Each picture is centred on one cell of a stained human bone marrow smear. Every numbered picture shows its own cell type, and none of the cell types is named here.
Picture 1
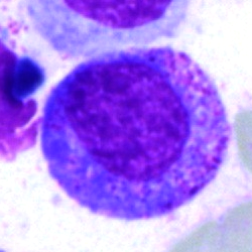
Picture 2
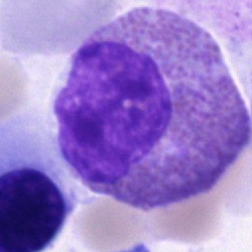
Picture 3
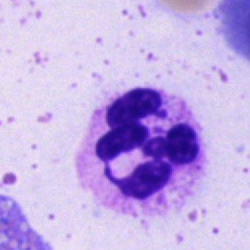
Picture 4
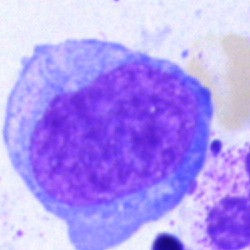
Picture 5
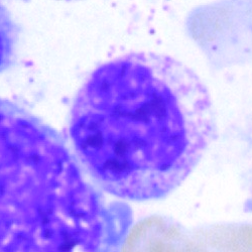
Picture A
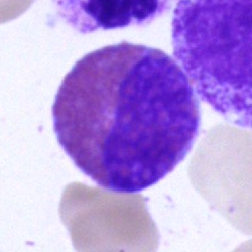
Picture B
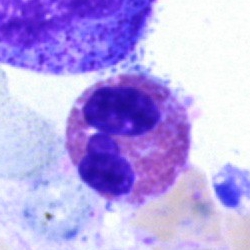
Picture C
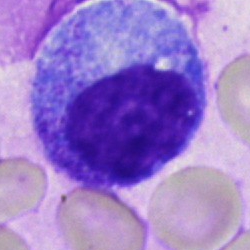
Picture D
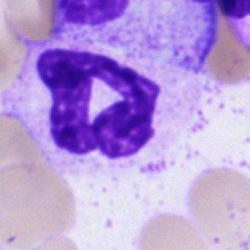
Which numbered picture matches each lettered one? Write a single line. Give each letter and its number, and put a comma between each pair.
A 2, B 2, C 1, D 3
